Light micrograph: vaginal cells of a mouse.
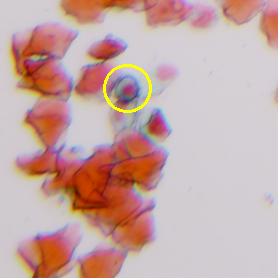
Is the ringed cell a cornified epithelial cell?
No, it is a nucleated epithelial cell.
